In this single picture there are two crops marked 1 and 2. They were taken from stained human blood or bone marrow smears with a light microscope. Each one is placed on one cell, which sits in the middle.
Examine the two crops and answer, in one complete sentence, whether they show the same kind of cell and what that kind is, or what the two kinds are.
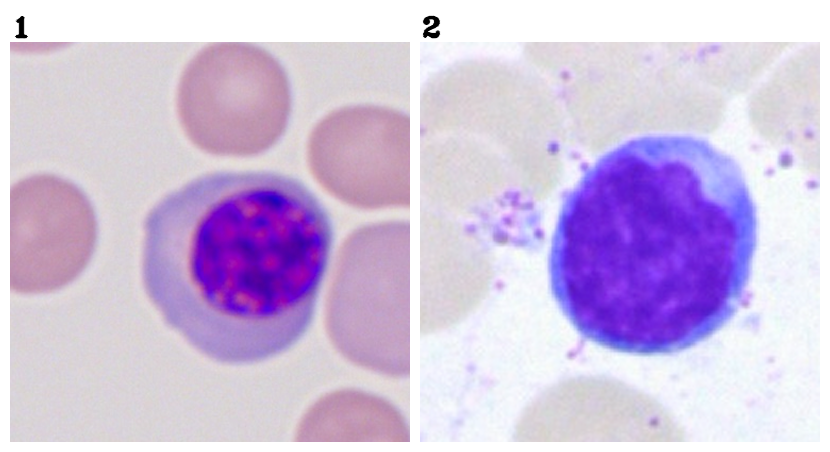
No, an erythroblast is depicted by crop 1, a lymphocyte by crop 2.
